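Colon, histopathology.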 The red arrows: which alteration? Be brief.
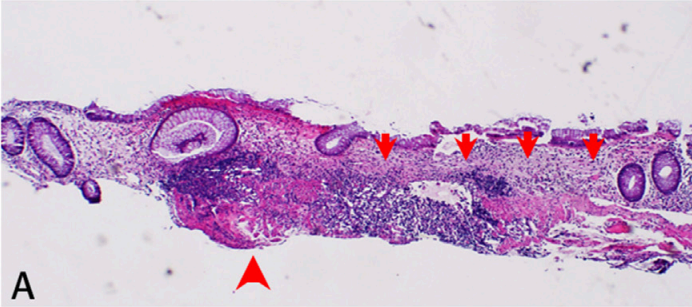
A: Crypt dropout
